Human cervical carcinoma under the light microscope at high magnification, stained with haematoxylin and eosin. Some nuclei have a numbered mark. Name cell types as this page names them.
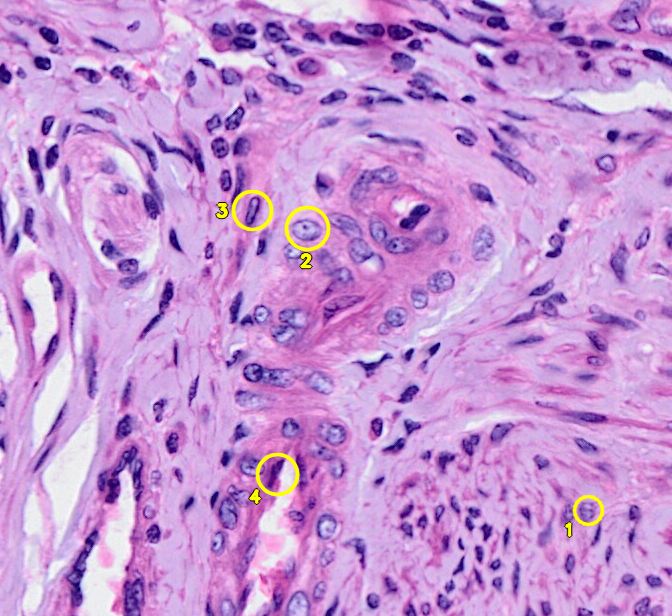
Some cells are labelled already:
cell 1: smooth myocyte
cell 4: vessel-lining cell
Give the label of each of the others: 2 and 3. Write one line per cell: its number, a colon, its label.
2: smooth myocyte
3: vessel-lining cell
